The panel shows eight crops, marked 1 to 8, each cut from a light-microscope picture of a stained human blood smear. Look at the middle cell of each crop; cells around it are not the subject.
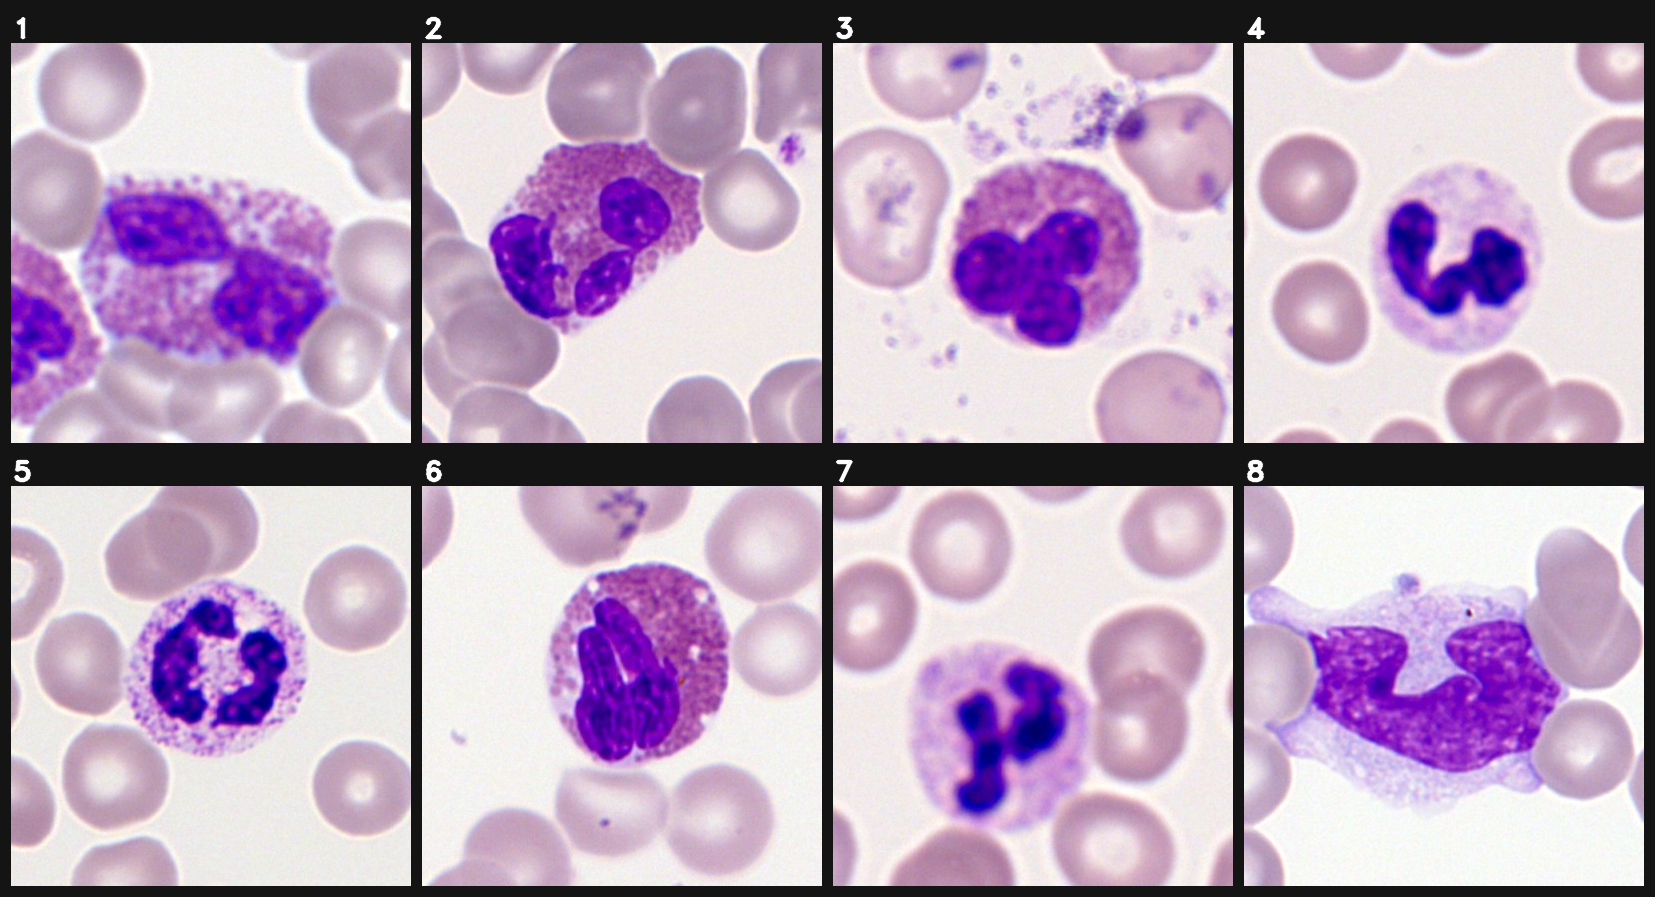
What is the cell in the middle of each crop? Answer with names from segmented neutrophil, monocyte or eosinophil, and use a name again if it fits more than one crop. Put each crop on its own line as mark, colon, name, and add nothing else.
1: eosinophil
2: eosinophil
3: eosinophil
4: segmented neutrophil
5: segmented neutrophil
6: eosinophil
7: segmented neutrophil
8: monocyte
